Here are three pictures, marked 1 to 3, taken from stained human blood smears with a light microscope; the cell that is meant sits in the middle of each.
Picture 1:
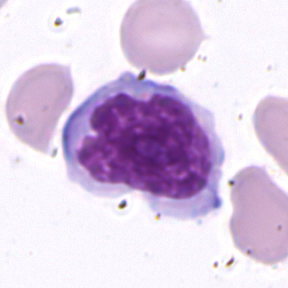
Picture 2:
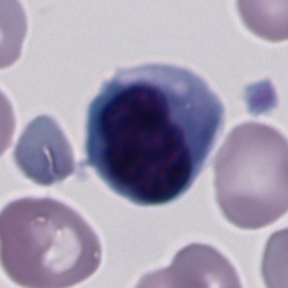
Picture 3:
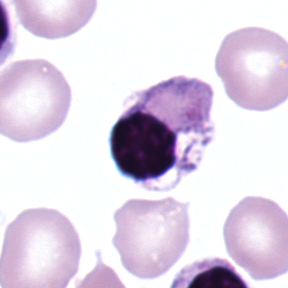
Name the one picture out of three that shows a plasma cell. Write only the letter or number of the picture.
1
